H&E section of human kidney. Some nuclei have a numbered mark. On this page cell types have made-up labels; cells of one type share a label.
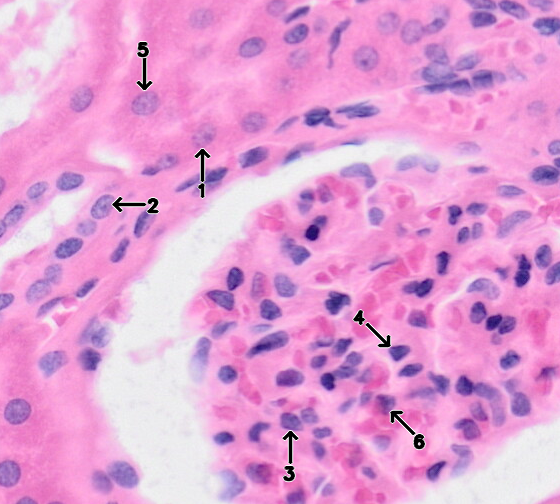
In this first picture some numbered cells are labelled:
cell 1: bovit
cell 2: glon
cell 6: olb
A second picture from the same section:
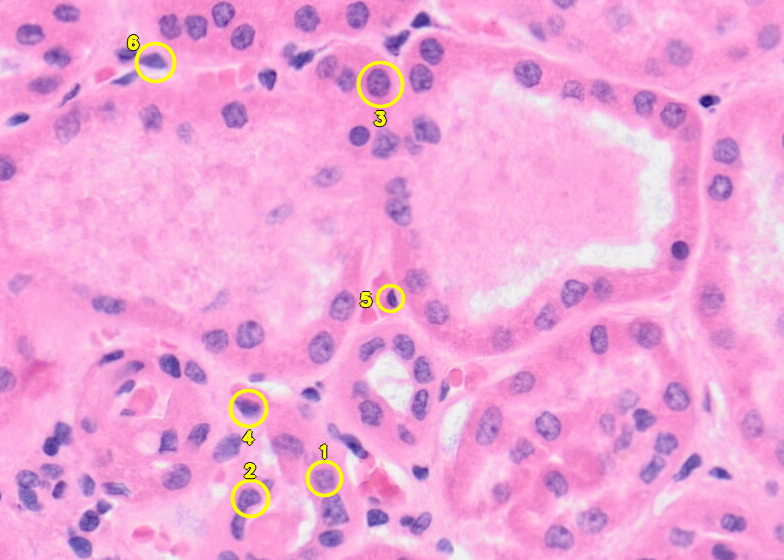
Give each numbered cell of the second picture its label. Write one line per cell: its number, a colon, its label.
1: glon
2: glon
3: bovit
4: olb
5: olb
6: olb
